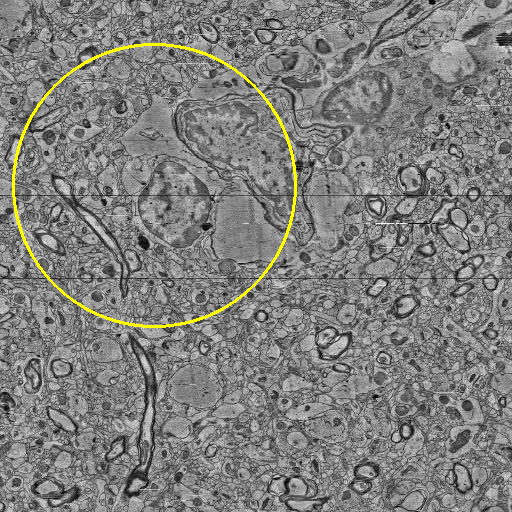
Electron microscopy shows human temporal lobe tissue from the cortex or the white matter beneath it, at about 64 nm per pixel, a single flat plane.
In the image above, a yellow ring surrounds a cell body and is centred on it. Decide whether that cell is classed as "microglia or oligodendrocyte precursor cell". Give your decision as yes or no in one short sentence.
Yes, it is classed as that kind.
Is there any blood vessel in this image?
Yes, one is visible.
